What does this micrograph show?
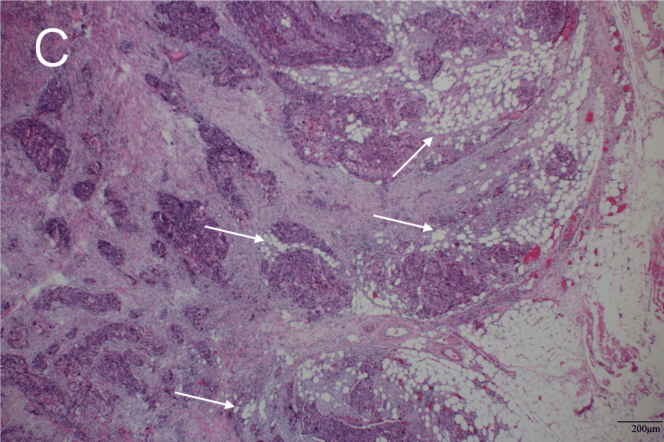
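At low power, irregular purple nests of tumor cells are scattered through pale fibrous stroma. Groups of empty round spaces with thin walls, adipocyte clusters, lie among and beside the nests. They are most plentiful toward the edge, near the tumor border. A few red vessels and pink fibrous bands run through the field.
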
